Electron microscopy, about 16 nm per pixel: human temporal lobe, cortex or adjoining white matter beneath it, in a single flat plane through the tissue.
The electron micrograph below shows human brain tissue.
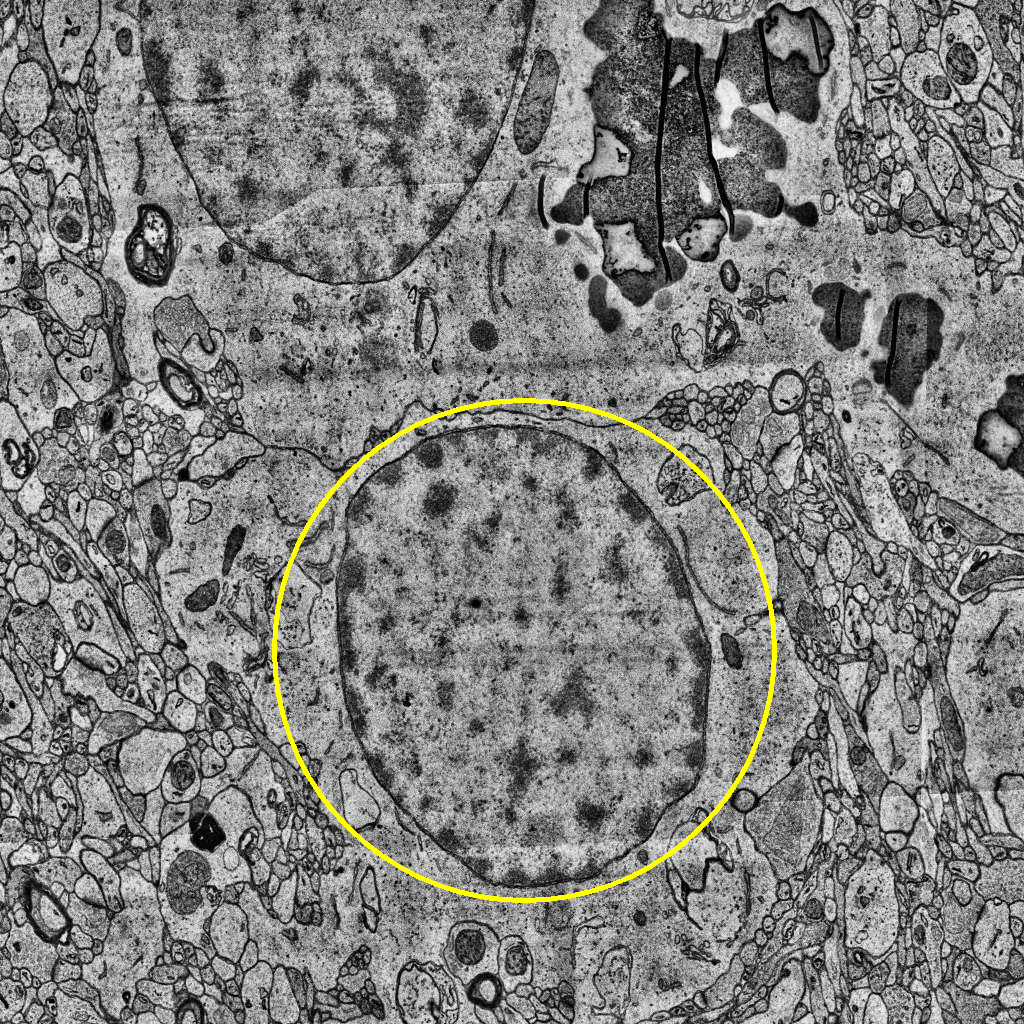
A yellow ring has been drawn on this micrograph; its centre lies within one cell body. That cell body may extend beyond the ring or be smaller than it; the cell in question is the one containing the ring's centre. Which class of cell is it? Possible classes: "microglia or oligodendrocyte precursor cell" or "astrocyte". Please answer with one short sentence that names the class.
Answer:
In the centre of the ring sits an astrocyte.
